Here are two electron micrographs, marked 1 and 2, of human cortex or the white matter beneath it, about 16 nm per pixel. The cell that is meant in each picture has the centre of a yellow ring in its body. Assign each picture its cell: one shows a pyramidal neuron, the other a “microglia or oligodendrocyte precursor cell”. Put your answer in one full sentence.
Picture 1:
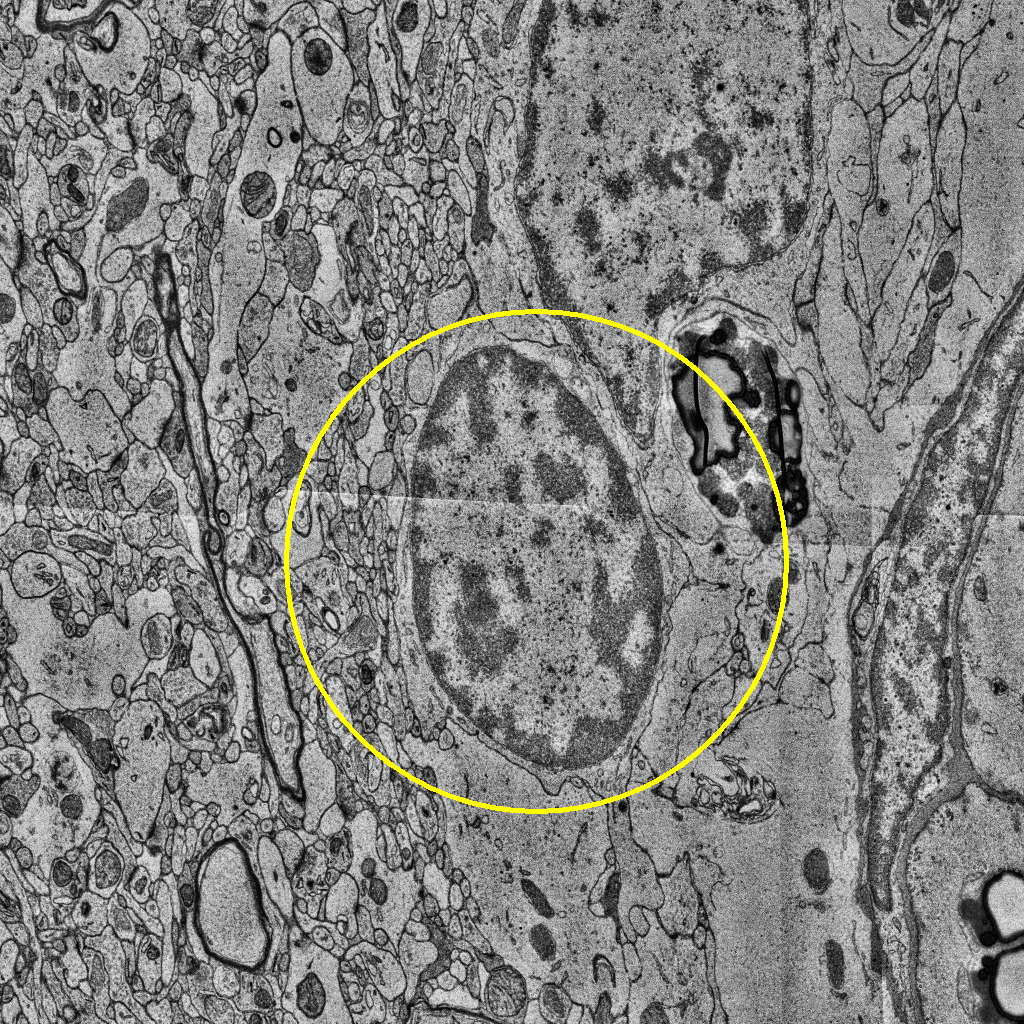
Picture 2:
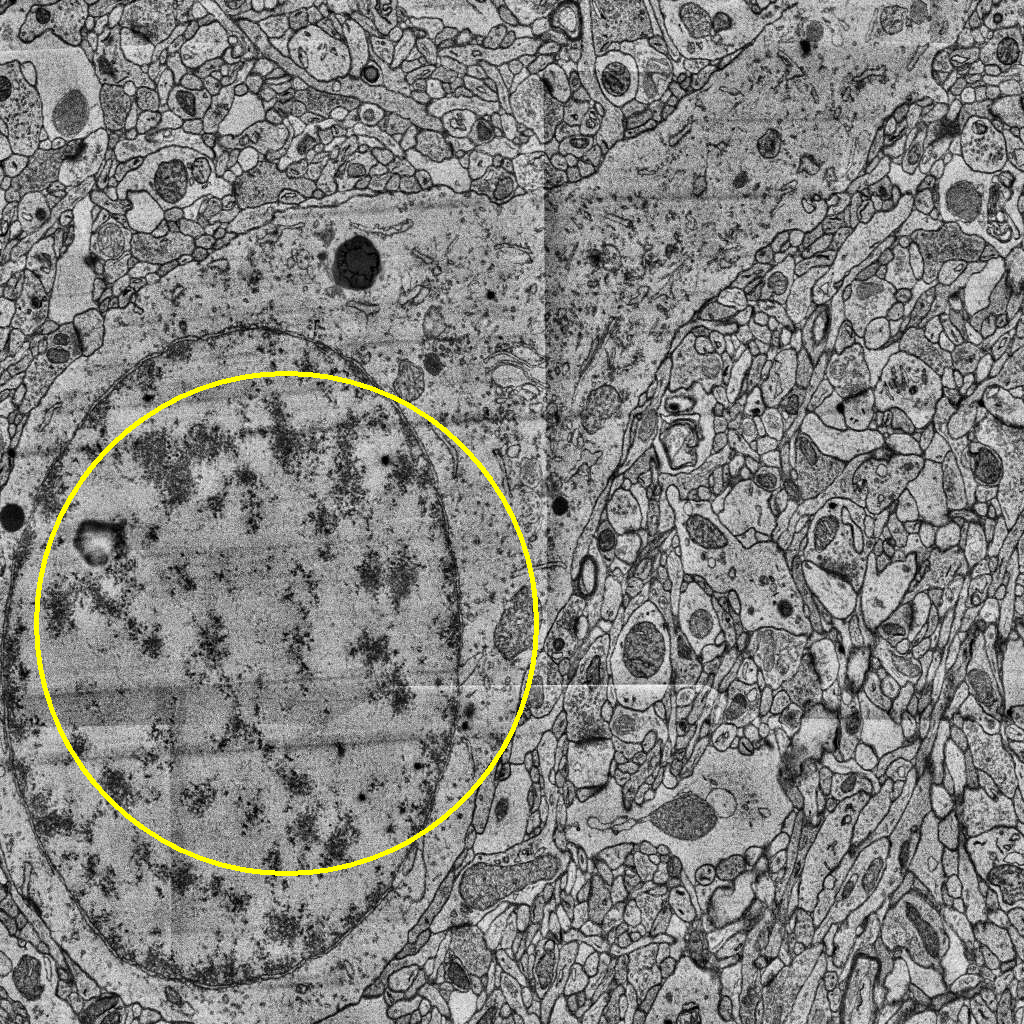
It is picture 1 that shows a “microglia or oligodendrocyte precursor cell”, and picture 2 that shows a pyramidal neuron.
